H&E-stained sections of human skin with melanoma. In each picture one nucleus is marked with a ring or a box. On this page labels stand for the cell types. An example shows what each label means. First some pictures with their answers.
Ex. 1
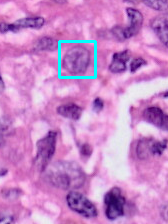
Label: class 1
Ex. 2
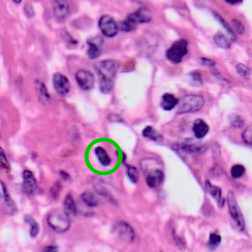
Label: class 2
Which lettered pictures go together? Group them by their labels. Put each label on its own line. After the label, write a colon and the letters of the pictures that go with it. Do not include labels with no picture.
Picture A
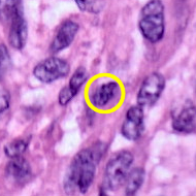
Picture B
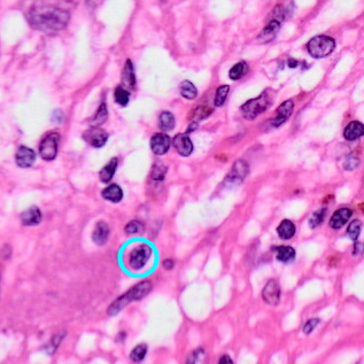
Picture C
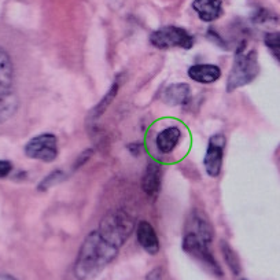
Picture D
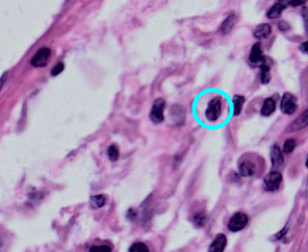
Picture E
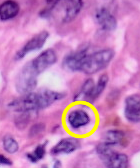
class 1: A
class 2: B, C, D, E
